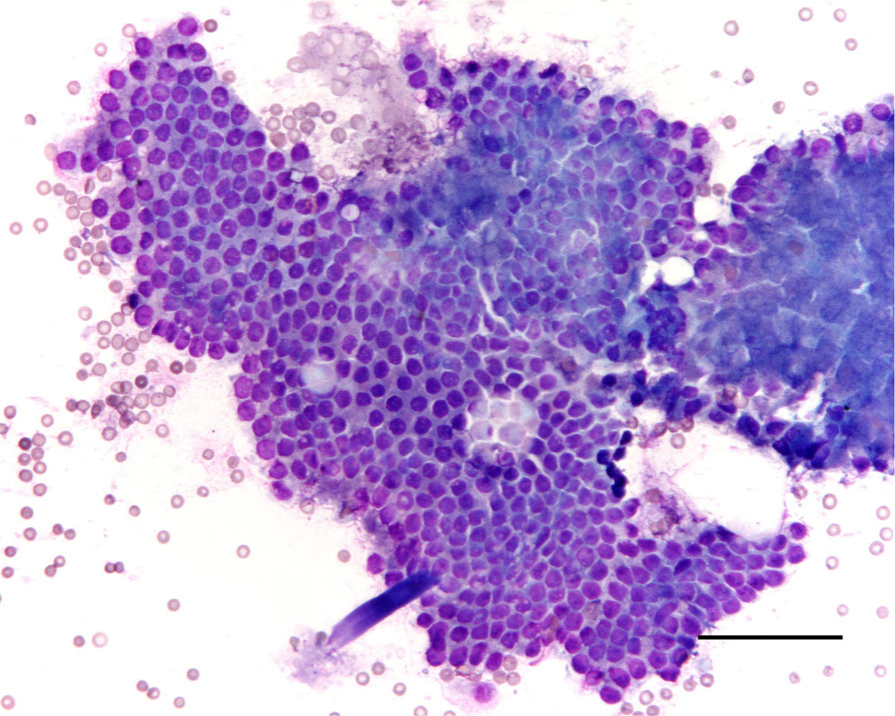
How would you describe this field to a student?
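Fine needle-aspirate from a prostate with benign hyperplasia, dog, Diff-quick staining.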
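The cells look much alike, each with a round, purple-staining nucleus and a thin rim of bluish, basophilic cytoplasm. Pale, unnucleated red blood cells are scattered in the background around the clusters.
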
